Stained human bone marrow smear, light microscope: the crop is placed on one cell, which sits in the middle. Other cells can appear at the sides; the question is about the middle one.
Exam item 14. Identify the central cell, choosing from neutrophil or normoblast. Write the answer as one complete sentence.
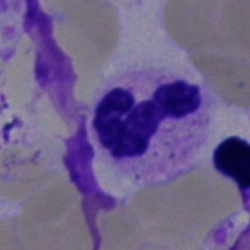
At the center of the crop sits a neutrophil.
